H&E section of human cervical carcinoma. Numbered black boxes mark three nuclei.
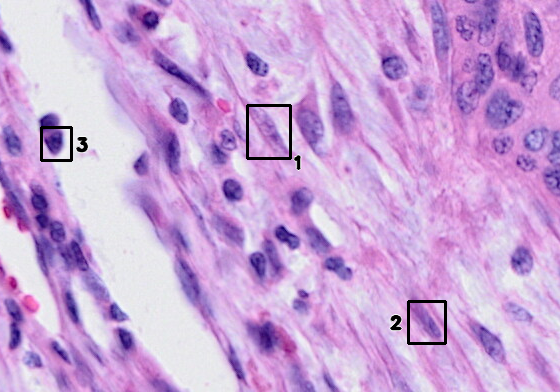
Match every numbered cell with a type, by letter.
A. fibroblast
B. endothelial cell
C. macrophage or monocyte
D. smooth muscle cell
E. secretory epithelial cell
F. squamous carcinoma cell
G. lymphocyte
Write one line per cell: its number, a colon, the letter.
1: A
2: A
3: G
